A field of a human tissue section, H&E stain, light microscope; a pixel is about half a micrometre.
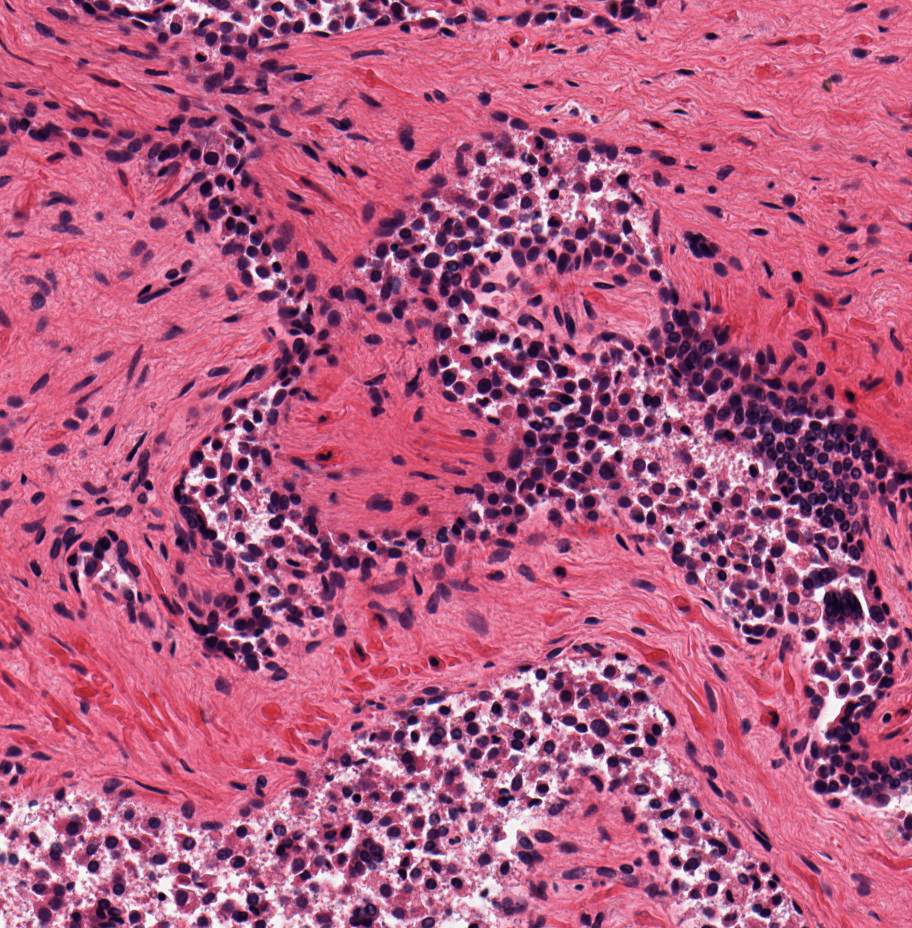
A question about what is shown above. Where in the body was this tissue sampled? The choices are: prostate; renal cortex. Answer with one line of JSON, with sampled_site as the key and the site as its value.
{"sampled_site": "prostate"}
